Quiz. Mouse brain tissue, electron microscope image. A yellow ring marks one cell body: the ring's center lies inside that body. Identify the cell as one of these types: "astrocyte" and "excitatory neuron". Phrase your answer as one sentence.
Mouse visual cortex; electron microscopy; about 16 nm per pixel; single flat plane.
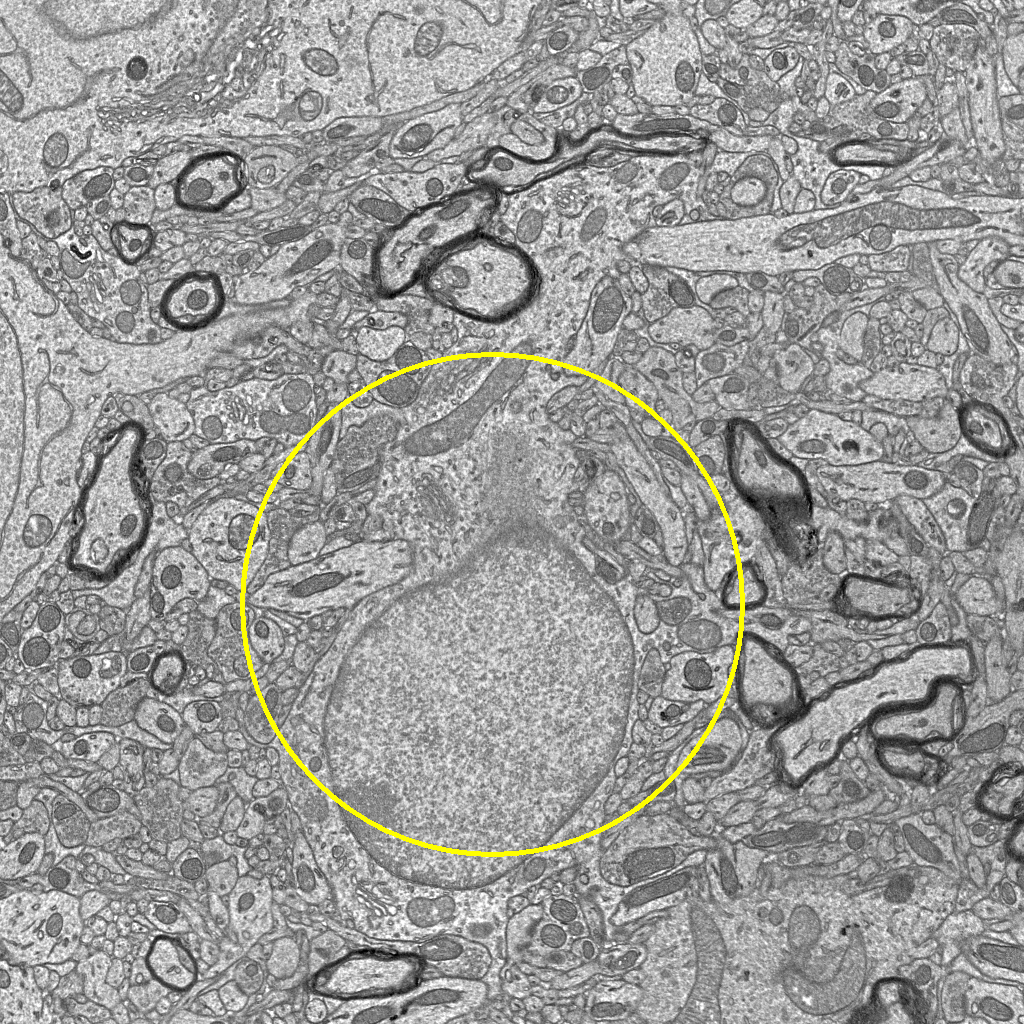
At the center of the ring sits an astrocyte.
